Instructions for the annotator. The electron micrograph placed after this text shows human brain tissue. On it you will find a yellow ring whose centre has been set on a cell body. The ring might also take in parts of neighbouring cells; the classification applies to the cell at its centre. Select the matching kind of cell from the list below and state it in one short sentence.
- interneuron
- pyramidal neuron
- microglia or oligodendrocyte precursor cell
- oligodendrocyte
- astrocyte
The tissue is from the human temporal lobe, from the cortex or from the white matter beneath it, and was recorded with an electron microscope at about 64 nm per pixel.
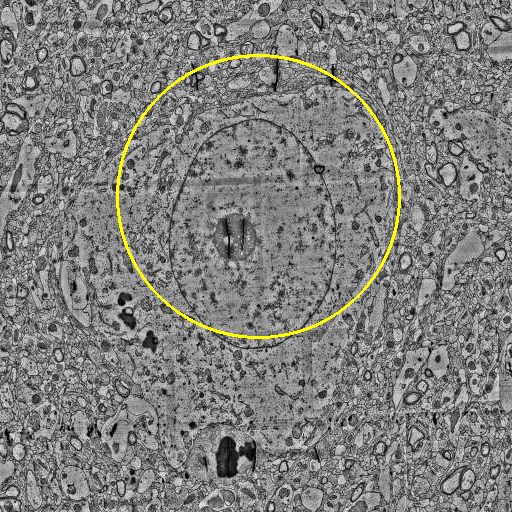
The ring is drawn on the cell body of a pyramidal neuron.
